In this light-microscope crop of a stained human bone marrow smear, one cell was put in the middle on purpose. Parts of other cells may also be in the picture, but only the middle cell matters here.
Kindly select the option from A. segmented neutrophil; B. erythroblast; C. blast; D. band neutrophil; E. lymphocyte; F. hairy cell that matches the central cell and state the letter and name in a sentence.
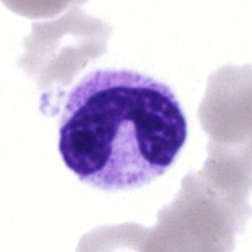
Since the middle cell is a segmented neutrophil, option A is the right one.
